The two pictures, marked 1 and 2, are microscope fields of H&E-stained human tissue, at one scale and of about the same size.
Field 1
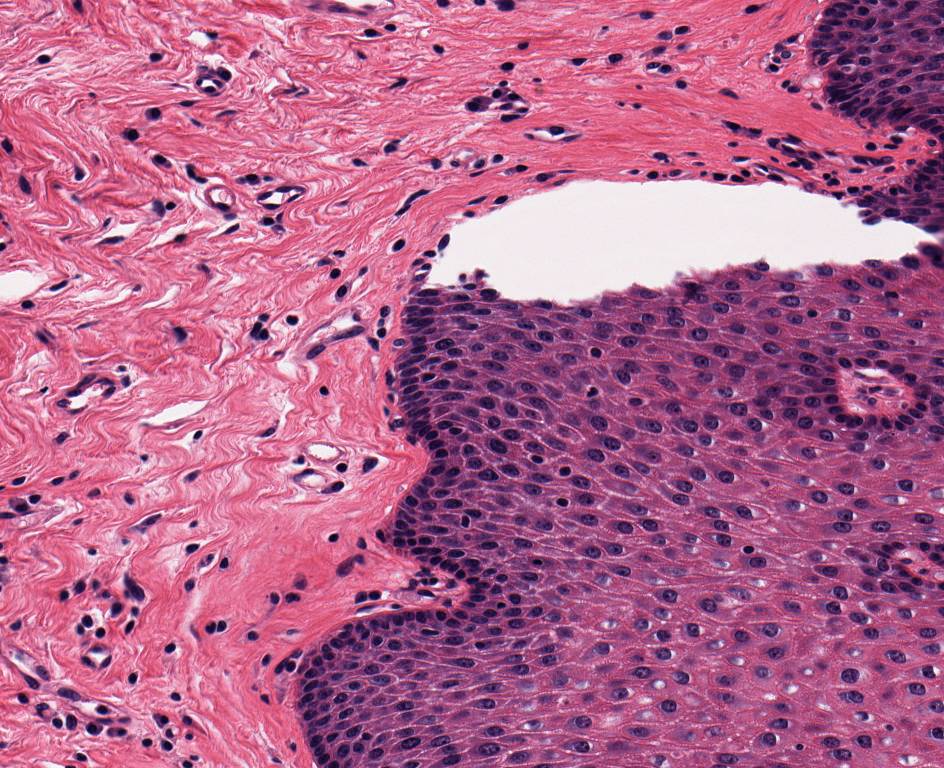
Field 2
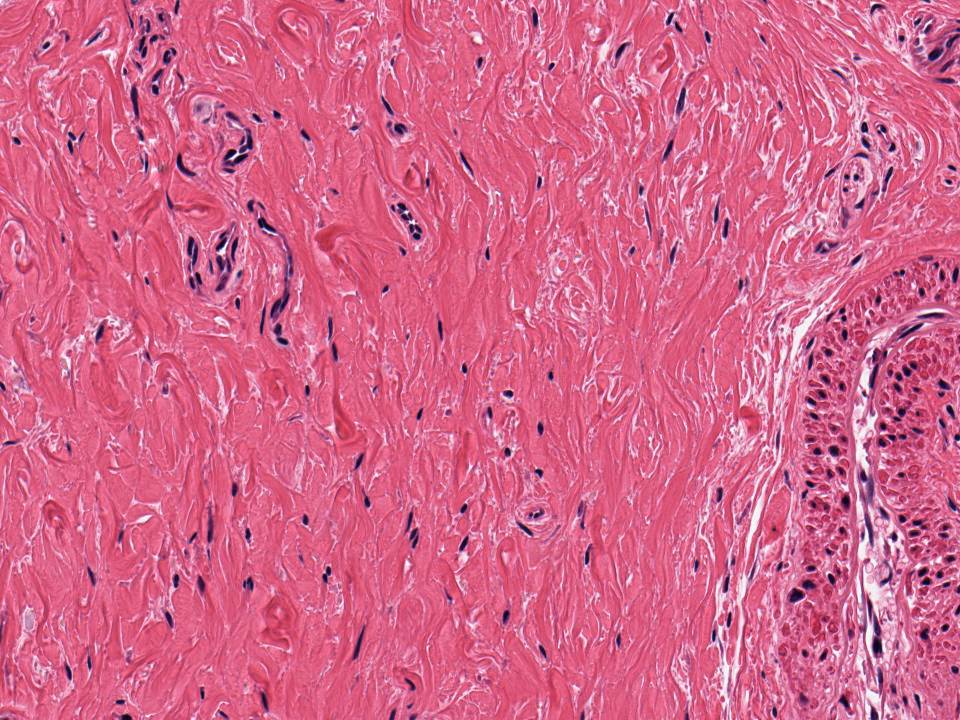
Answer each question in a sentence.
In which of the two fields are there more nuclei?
It is field 1 that has more nuclei in it.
